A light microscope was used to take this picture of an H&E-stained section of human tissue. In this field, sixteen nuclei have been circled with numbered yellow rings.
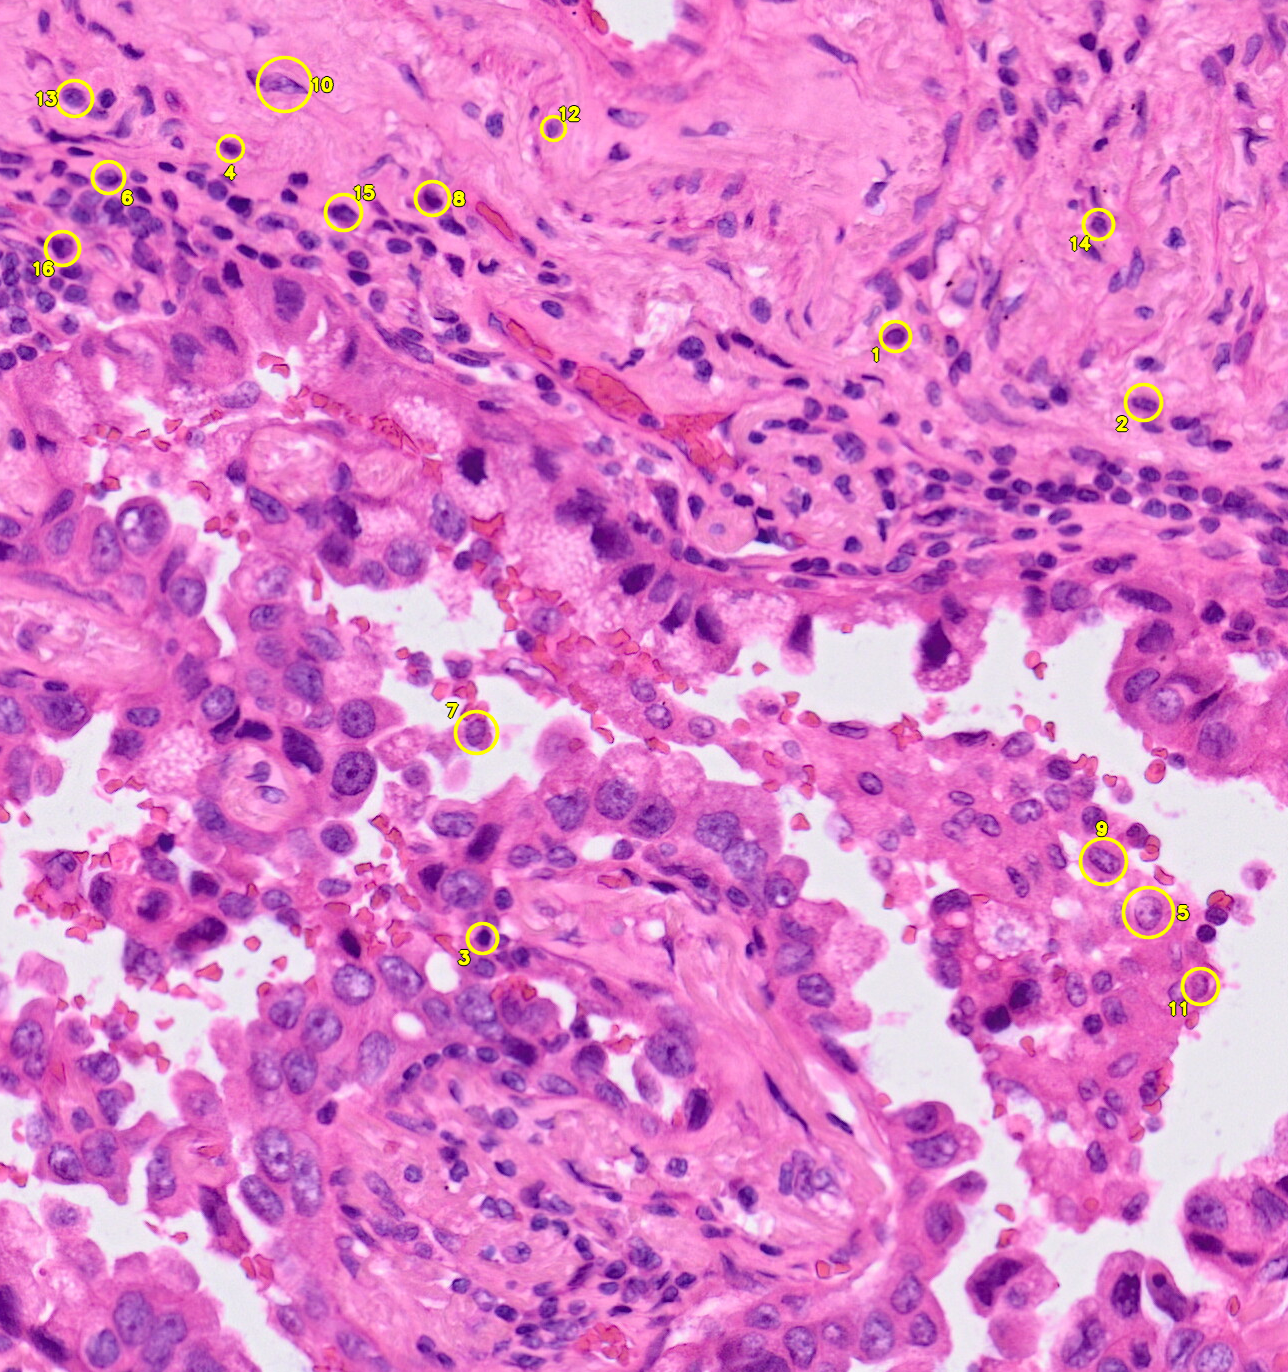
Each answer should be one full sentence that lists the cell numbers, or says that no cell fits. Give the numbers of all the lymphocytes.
The cells which carry the numbers 3, 6, 13 and 16 are lymphocytes.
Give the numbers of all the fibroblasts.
Only the cell with the number 10 is a fibroblast.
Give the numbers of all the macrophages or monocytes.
Cells 5, 7, 9 and 11 share one type; they are macrophages or monocytes.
